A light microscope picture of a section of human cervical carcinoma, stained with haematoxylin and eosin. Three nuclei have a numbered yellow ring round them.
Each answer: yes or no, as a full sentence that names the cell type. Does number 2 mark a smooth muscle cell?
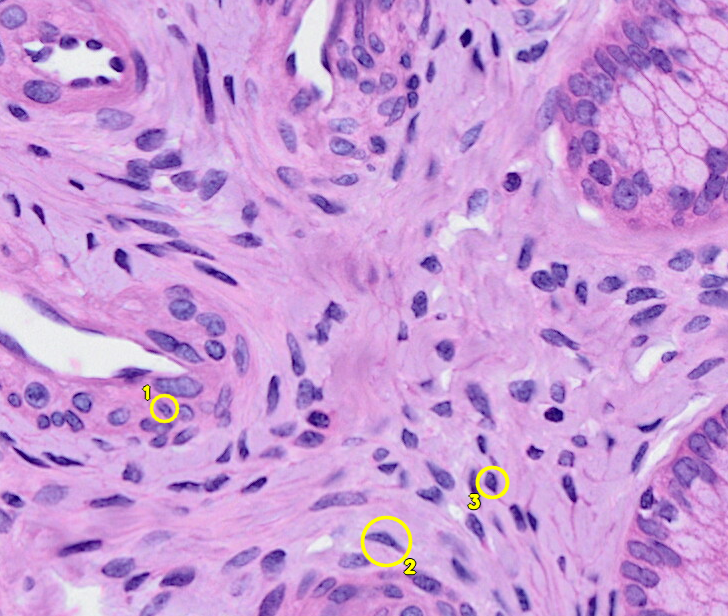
No, cell 2 is classified as a fibroblast rather than a smooth muscle cell.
